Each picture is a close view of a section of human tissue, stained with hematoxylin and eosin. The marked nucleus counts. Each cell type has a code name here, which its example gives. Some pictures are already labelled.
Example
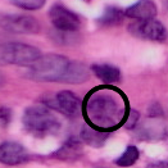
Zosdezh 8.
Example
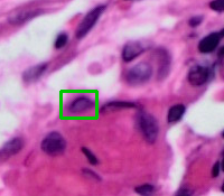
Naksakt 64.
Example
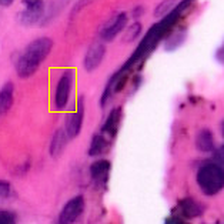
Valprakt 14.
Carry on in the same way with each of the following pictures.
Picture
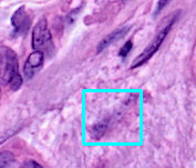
Naksakt 64.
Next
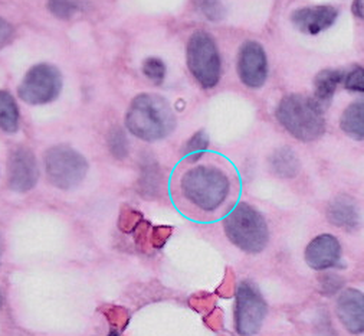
Zosdezh 8.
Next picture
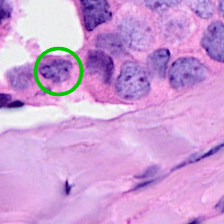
Zosdezh 8.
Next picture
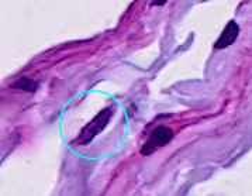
Naksakt 64.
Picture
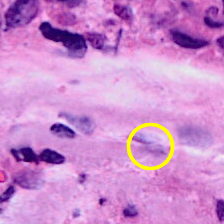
Naksakt 64.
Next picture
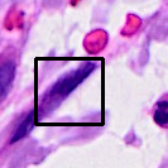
Naksakt 64.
